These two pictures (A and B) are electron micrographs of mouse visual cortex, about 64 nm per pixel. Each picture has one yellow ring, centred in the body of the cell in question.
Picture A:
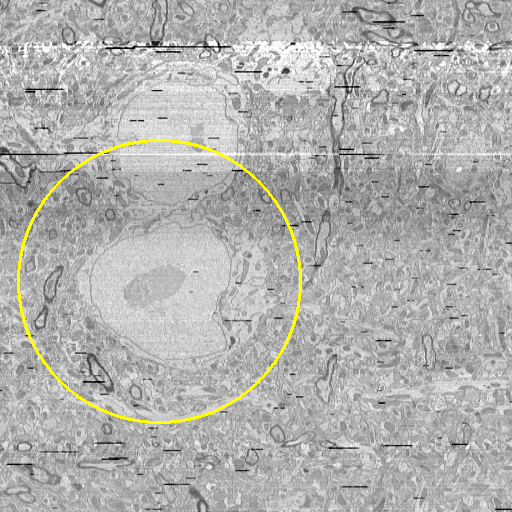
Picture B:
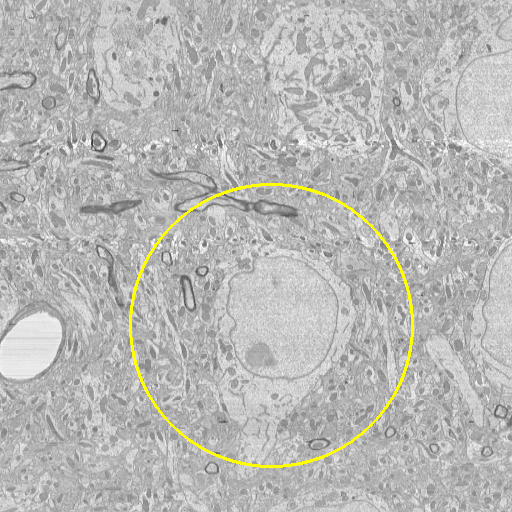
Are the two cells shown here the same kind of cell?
Yes, the two pictures both show excitatory neurons.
